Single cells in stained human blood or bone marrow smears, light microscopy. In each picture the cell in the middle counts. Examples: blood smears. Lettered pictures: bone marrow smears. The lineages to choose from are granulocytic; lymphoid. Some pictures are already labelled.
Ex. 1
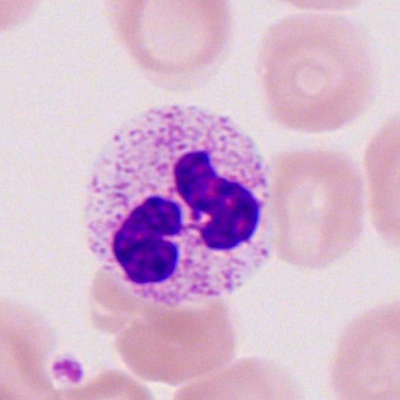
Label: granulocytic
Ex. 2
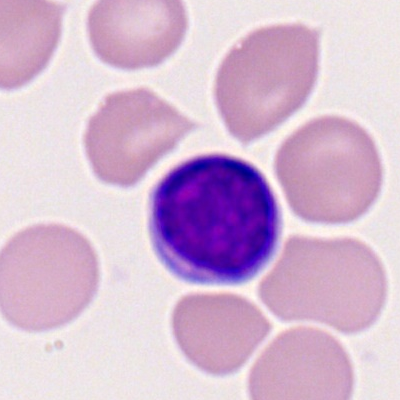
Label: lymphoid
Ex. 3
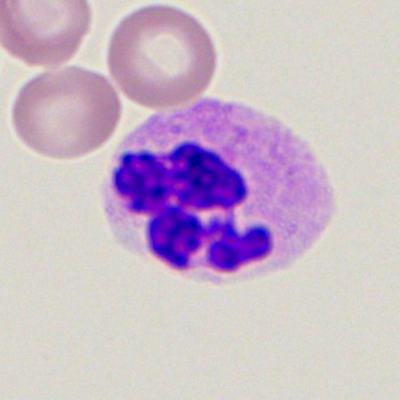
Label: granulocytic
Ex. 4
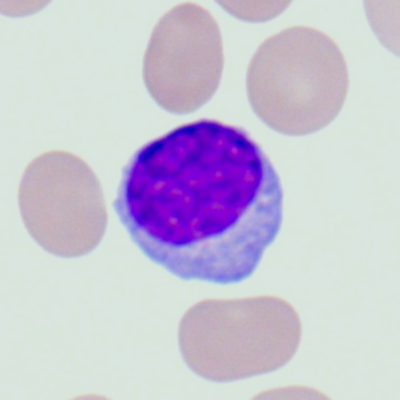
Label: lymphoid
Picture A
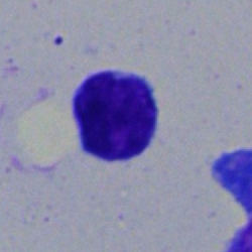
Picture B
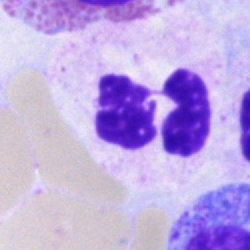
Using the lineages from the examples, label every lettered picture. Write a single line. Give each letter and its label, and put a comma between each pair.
A lymphoid, B granulocytic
